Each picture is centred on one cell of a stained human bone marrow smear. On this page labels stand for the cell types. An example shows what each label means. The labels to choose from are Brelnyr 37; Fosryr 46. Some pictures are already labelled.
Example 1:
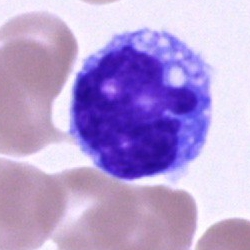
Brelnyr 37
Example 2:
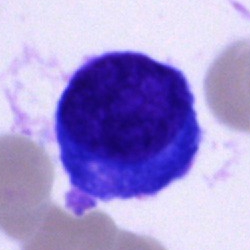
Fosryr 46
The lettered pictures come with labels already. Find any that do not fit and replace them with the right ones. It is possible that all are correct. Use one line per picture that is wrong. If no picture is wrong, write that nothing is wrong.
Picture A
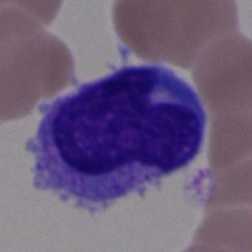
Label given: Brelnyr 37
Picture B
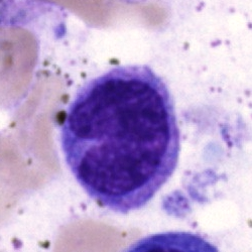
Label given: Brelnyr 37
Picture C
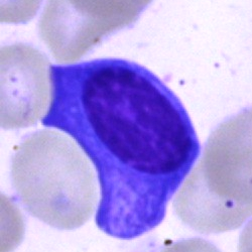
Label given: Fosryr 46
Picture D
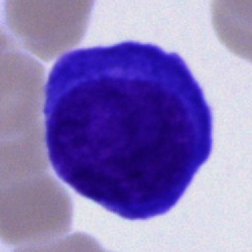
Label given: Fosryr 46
No label is wrong.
